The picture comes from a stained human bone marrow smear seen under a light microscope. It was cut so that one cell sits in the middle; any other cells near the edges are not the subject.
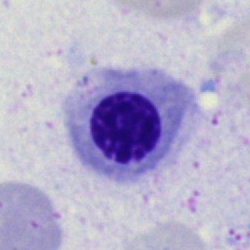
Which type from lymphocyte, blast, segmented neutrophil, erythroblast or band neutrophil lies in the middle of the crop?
erythroblast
